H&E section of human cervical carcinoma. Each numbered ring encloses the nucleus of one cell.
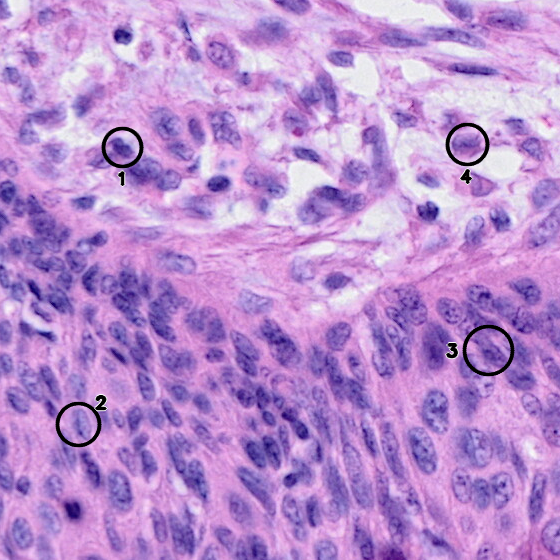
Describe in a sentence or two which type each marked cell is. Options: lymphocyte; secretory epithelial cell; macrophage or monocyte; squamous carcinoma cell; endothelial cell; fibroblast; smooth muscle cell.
Cell 1 is a lymphocyte, cell 2 is a squamous carcinoma cell, cell 3 is a squamous carcinoma cell and cell 4 is a fibroblast.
